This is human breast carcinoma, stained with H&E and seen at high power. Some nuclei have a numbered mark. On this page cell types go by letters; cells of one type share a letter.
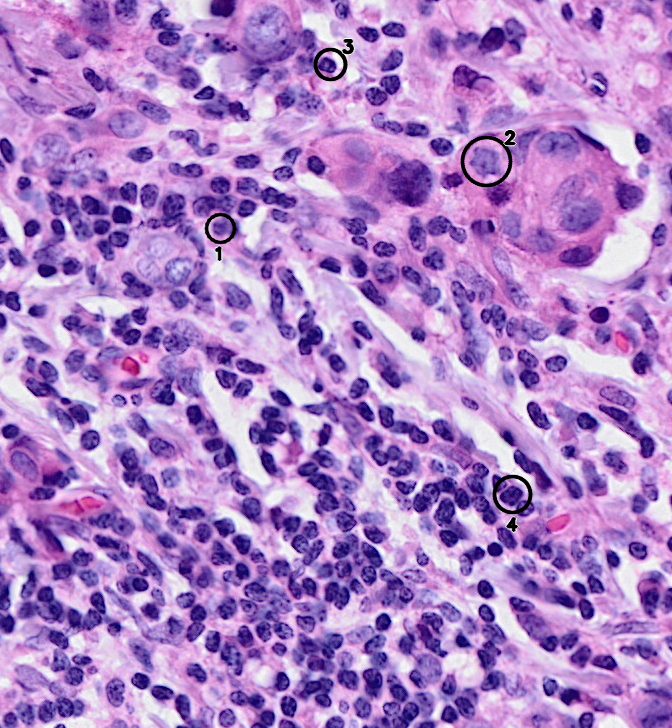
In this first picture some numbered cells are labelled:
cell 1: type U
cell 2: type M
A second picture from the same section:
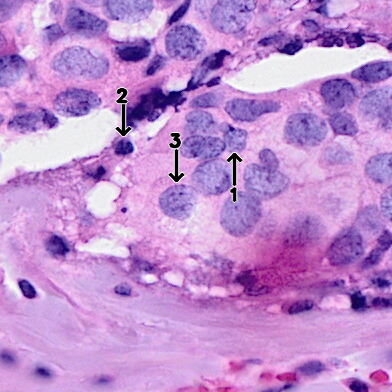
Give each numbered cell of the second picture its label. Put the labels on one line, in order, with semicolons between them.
type M; type U; type M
